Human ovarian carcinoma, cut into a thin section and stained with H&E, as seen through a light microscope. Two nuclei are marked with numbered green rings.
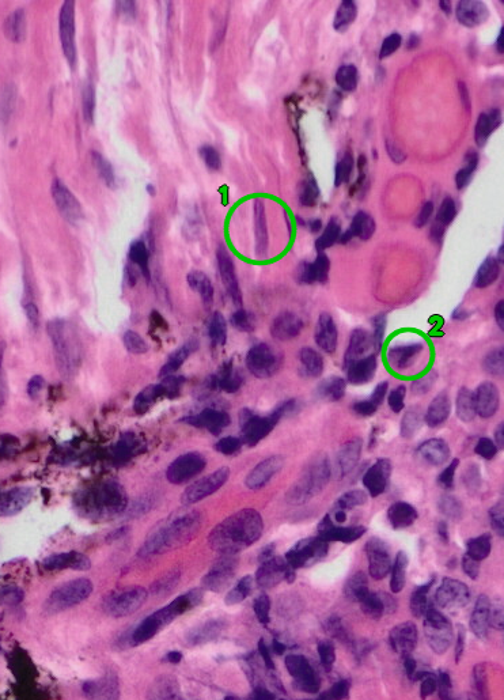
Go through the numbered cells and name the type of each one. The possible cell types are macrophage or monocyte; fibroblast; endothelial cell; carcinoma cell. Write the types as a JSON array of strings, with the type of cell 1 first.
["fibroblast", "carcinoma cell"]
